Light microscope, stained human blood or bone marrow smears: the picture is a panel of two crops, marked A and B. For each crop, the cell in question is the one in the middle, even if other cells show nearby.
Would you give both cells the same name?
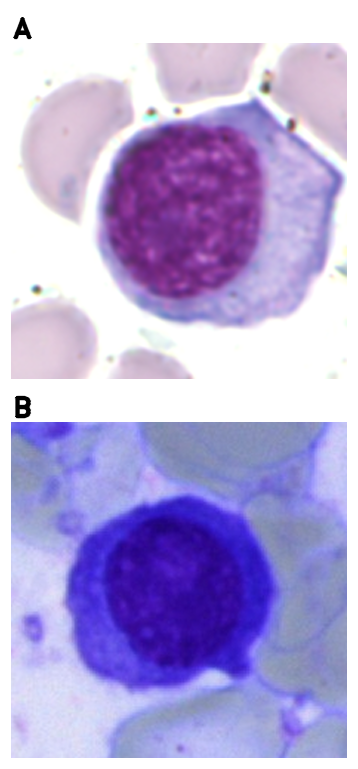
yes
